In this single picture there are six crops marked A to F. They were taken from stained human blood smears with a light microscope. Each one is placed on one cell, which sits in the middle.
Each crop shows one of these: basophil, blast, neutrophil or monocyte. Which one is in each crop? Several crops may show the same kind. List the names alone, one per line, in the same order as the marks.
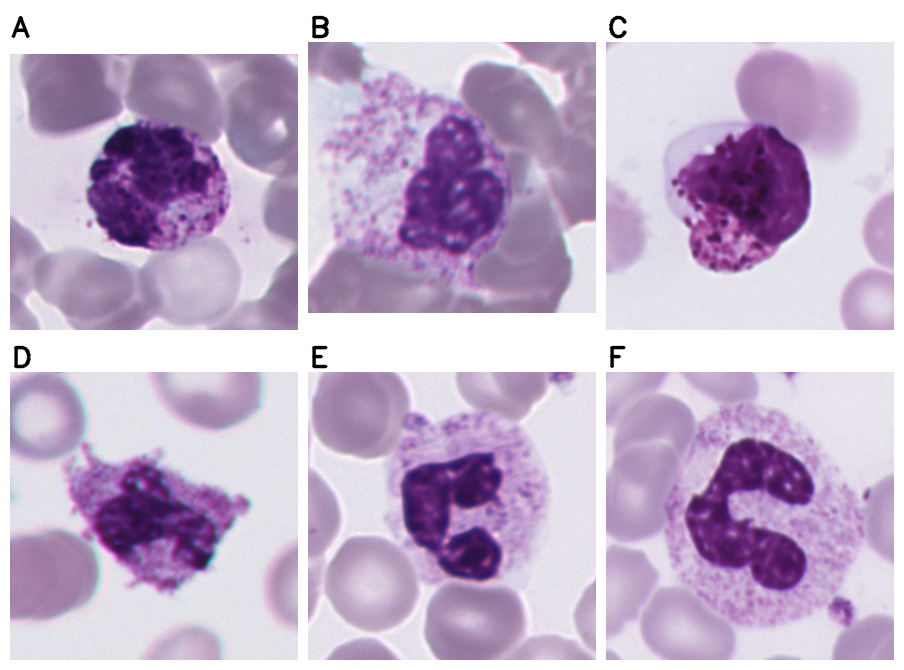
basophil
neutrophil
basophil
basophil
neutrophil
neutrophil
